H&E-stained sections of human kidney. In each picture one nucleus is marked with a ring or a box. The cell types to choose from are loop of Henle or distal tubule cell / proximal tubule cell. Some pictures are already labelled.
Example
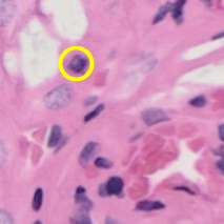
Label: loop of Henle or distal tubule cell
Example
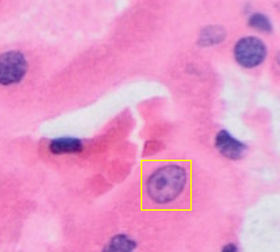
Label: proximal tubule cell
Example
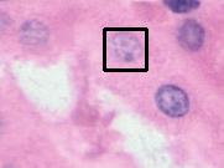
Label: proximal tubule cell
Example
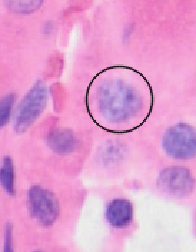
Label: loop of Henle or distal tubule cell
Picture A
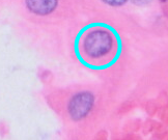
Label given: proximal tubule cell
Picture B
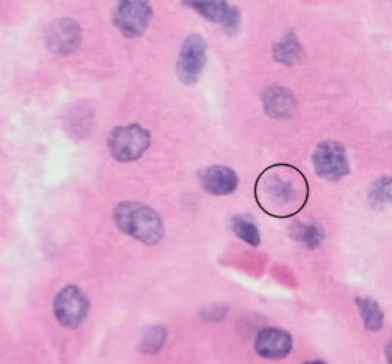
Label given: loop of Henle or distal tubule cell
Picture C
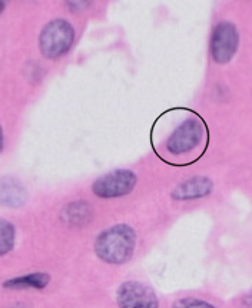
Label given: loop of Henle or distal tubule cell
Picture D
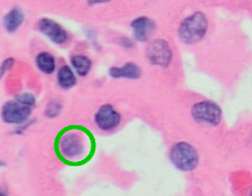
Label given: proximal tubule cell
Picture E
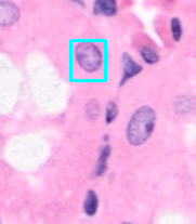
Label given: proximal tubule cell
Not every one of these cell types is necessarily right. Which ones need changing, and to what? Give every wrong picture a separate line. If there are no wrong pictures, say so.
D: loop of Henle or distal tubule cell, not proximal tubule cell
